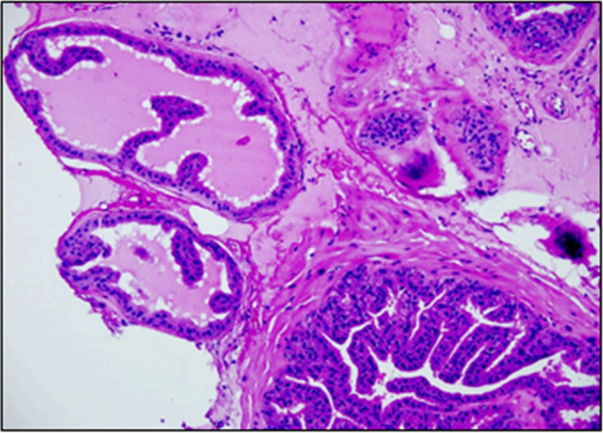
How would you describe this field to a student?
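This is prostate gland tissue showing several acini cut in section, separated by pink fibromuscular stroma. The acini in the upper part are lined by a thin layer of epithelial cells with small purple nuclei, forming a few folds into the lumen. Their lumina are filled with smooth, homogeneous pink material, the eosinophilic secretion of the gland. In the lower right a larger acinus has a more folded epithelium with branching infoldings and a mostly clear lumen. Loose pale connective tissue with scattered cells lies between the glands.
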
